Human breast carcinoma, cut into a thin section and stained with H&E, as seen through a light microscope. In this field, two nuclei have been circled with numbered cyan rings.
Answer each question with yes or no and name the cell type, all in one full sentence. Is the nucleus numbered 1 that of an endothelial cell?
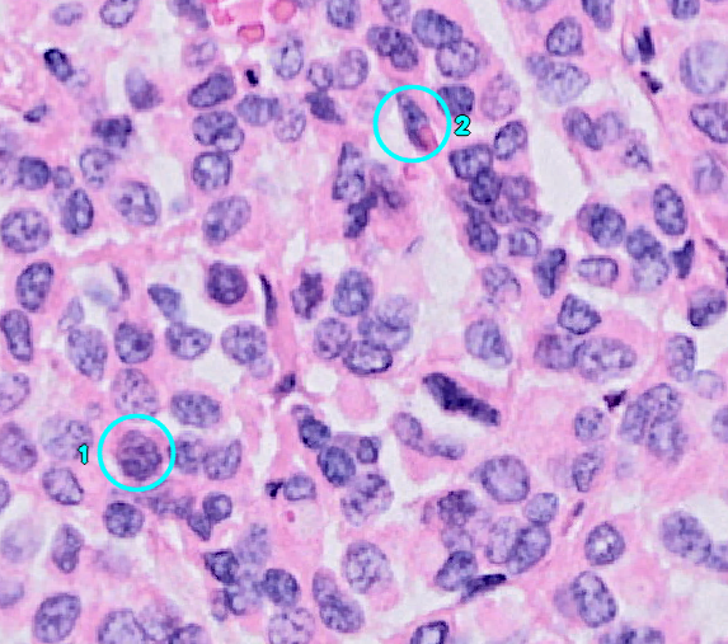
No, number 1 corresponds to a carcinoma cell, not an endothelial cell.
